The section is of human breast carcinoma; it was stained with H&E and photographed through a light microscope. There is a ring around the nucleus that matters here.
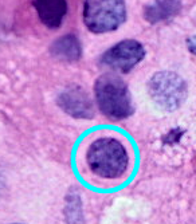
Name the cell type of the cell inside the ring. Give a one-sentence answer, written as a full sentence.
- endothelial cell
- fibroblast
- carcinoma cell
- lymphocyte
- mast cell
Within the stained tissue, the cell inside the ring is a carcinoma cell.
